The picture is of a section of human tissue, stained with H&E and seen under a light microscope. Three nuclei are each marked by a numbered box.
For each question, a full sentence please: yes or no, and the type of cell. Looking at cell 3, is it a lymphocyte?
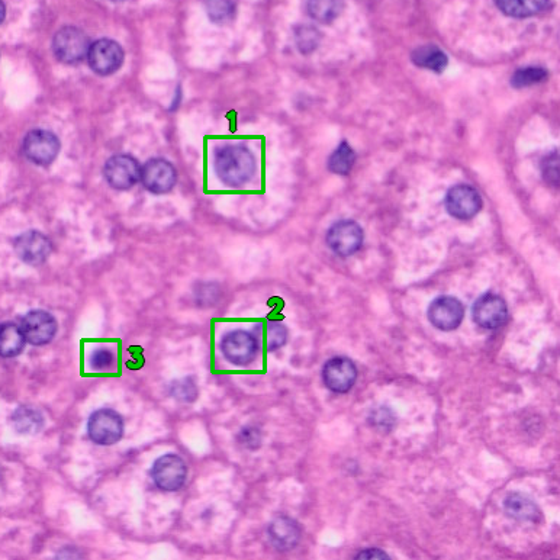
Yes. The cell carrying number 3 is a lymphocyte.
